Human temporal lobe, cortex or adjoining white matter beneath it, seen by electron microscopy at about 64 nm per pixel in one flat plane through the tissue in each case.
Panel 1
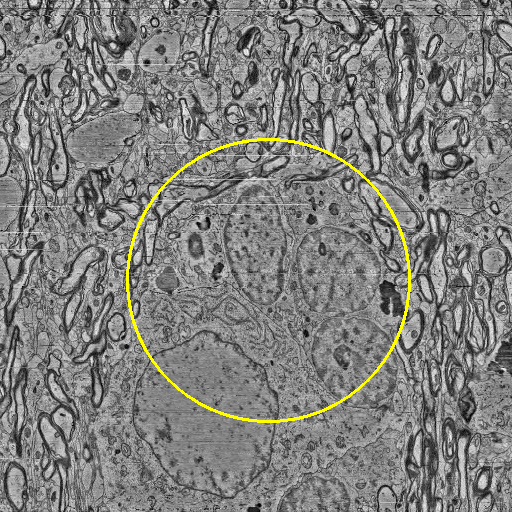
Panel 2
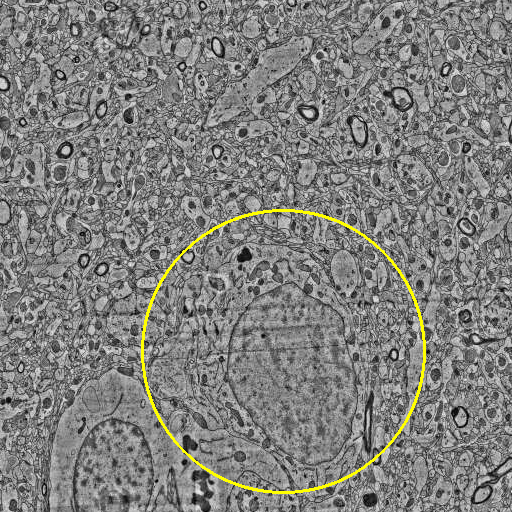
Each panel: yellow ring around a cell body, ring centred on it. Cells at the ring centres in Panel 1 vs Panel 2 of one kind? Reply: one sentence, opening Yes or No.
No, Panel 1 and Panel 2 have cells of two kinds at the ring centres.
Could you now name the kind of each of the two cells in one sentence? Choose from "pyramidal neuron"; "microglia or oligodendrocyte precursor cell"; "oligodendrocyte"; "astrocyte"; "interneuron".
The first ring encloses a microglial cell or oligodendrocyte precursor cell; the second ring encloses an interneuron.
